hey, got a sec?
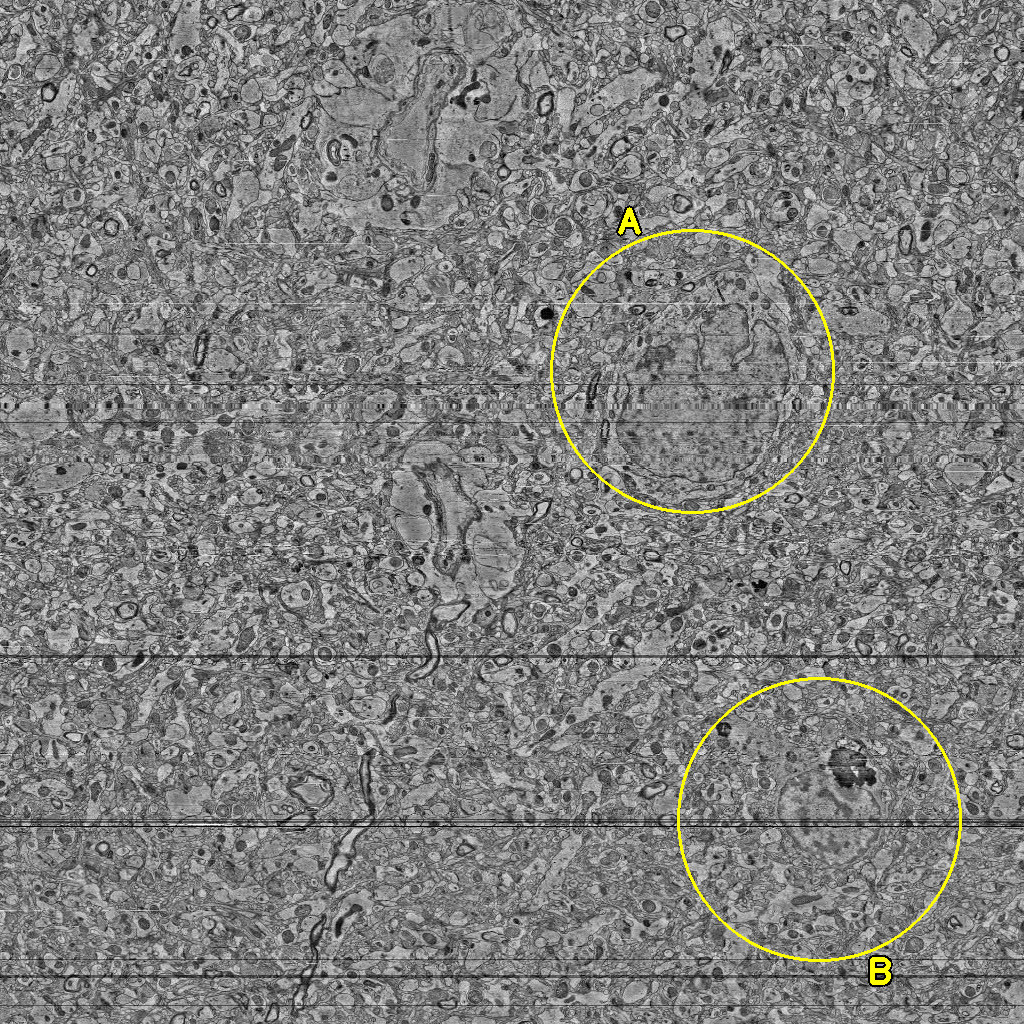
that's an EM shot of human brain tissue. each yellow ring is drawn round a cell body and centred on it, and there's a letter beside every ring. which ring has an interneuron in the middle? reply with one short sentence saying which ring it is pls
Ring A is the one centred on it.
